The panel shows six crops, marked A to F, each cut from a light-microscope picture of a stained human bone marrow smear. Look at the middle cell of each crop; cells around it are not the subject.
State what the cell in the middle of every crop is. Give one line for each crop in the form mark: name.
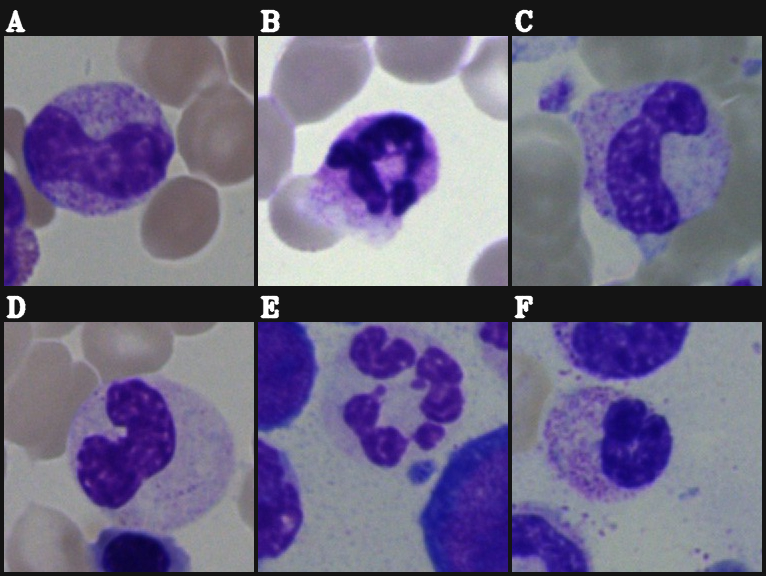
A: band neutrophil
B: segmented neutrophil
C: band neutrophil
D: band neutrophil
E: segmented neutrophil
F: band neutrophil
